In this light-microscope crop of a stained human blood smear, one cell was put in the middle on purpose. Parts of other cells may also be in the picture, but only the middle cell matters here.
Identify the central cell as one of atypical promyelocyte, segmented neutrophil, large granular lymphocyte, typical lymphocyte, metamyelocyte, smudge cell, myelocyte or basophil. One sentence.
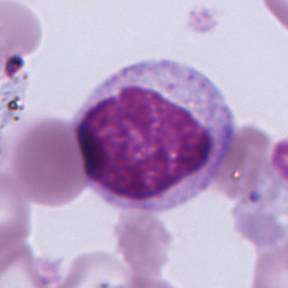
In this crop, the cell at the very middle is a myelocyte.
